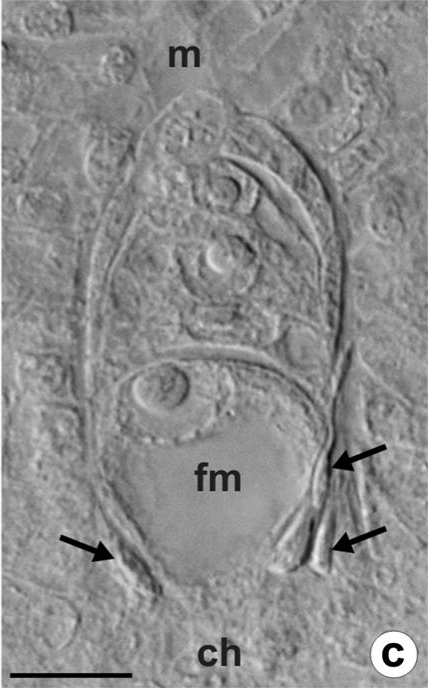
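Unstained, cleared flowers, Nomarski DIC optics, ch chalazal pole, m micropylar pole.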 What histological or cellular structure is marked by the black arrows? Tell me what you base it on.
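The arrows point to thin, flattened, streak-like remnants. These lie pressed against the sides of the large, rounded cell at the chalazal end.
Hence: crushed nucellar cells.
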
